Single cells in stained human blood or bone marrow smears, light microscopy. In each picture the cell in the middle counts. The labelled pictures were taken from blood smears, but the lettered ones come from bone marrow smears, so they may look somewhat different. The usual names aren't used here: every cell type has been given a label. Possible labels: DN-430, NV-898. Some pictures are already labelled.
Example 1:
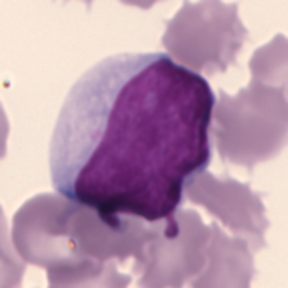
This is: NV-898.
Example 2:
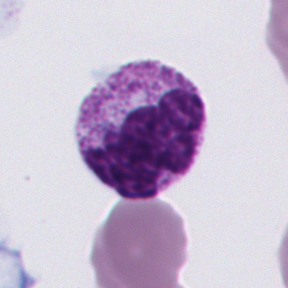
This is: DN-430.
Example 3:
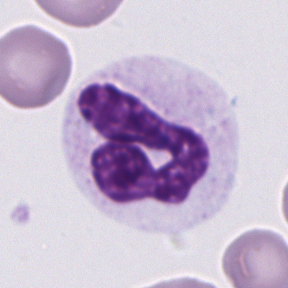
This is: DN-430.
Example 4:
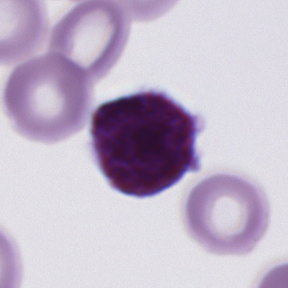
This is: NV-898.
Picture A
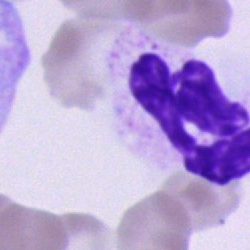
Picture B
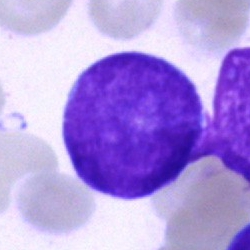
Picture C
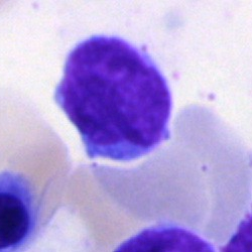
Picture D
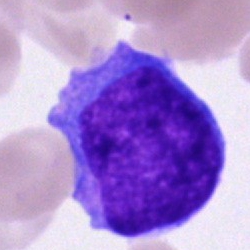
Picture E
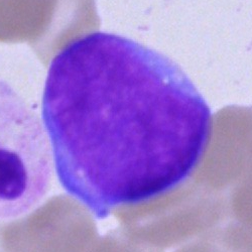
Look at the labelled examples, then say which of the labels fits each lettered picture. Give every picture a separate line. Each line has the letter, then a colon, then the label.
A: DN-430.
B: NV-898.
C: NV-898.
D: NV-898.
E: NV-898.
